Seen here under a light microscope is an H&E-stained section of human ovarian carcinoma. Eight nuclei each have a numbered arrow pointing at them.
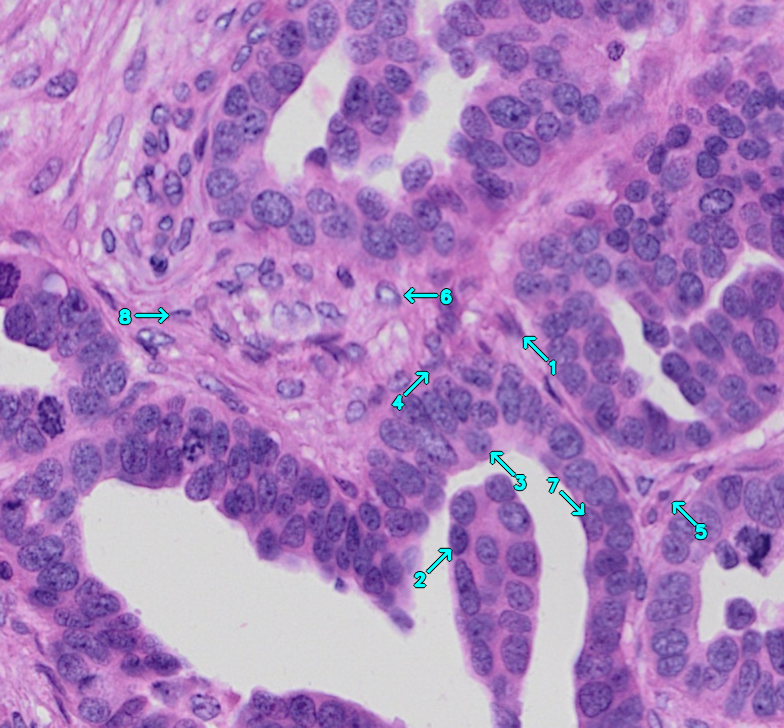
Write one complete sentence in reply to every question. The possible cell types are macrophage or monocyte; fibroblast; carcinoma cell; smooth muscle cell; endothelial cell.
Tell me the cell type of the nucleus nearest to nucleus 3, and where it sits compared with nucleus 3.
Just above nucleus 3 lies the nearest nucleus, which belongs to a carcinoma cell.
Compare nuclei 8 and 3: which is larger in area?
At about 3 times the area of nucleus 8, nucleus 3 is the larger of the two.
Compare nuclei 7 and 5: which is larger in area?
Nucleus 7 is larger, with an area about 3 times that of nucleus 5.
